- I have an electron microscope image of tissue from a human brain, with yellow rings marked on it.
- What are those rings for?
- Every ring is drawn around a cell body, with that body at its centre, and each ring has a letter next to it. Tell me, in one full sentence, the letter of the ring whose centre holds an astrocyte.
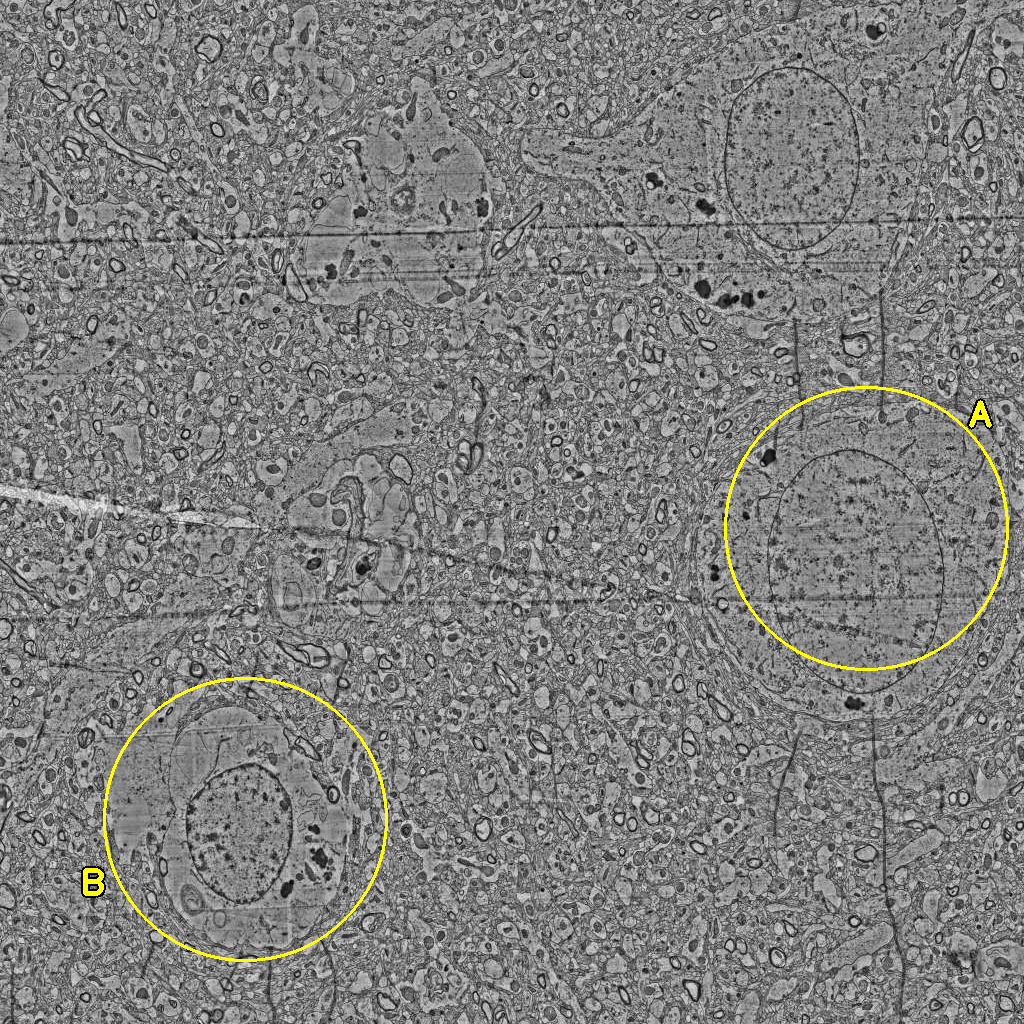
In the picture, the cell asked for sits at the centre of ring B.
